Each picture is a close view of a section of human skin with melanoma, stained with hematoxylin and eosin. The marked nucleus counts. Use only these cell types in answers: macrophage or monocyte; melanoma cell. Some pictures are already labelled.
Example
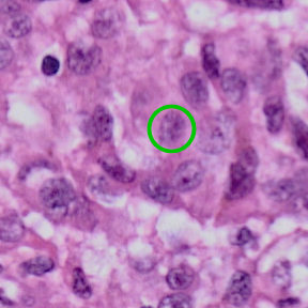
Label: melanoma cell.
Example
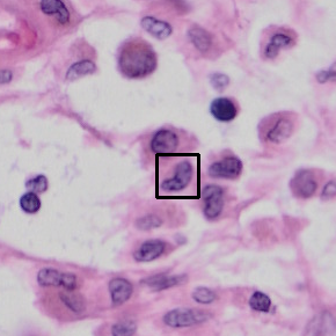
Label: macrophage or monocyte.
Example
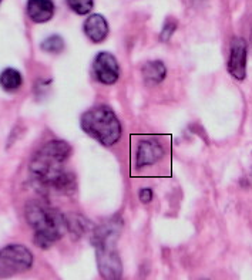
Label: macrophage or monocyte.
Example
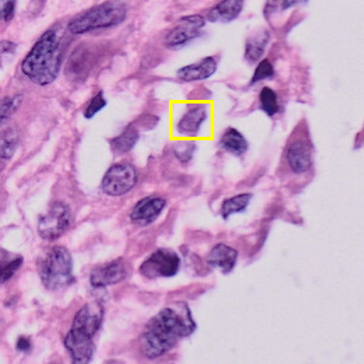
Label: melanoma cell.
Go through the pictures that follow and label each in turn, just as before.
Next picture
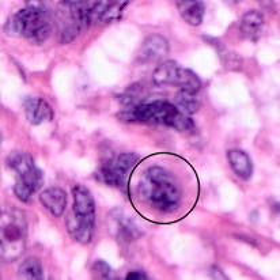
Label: melanoma cell.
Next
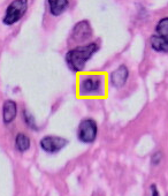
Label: macrophage or monocyte.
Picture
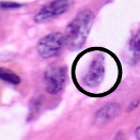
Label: melanoma cell.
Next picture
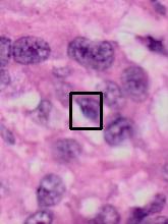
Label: melanoma cell.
